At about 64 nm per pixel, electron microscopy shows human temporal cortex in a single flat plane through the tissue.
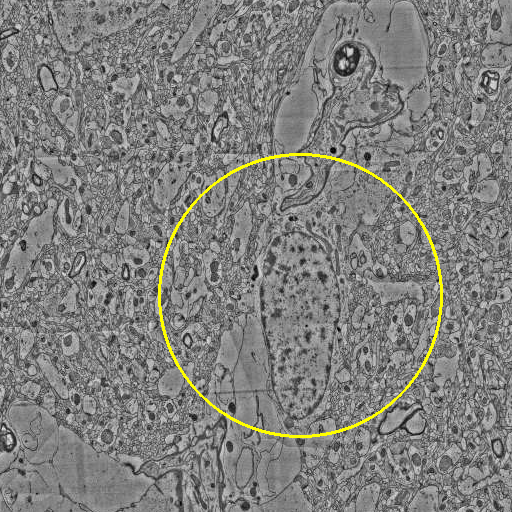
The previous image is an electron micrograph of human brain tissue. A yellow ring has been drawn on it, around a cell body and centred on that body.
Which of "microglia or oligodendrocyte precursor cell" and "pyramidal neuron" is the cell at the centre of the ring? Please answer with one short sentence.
The cell body at the centre of the ring belongs to a microglial cell or oligodendrocyte precursor cell.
